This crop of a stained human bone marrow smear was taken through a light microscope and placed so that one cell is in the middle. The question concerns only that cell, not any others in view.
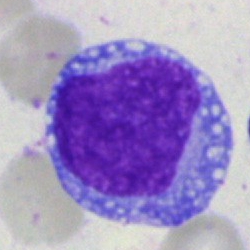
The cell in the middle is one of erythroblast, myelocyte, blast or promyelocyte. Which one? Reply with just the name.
blast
